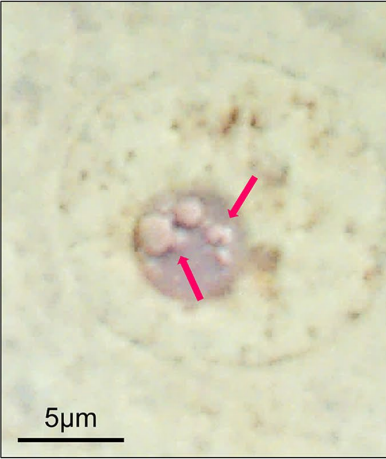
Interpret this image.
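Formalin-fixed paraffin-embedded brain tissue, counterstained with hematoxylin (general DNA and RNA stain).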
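A neuron's nucleus is seen at high magnification, with a pale interior bounded by a thin, faintly outlined nuclear envelope. Near its centre lies a single round nucleolus, stained a pinkish-brown and much denser than the surrounding nucleoplasm. Within the nucleolus are several pale, round cavities of differing sizes, clustered mostly toward one side. Some of these cavities lie against one another and appear to merge.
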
